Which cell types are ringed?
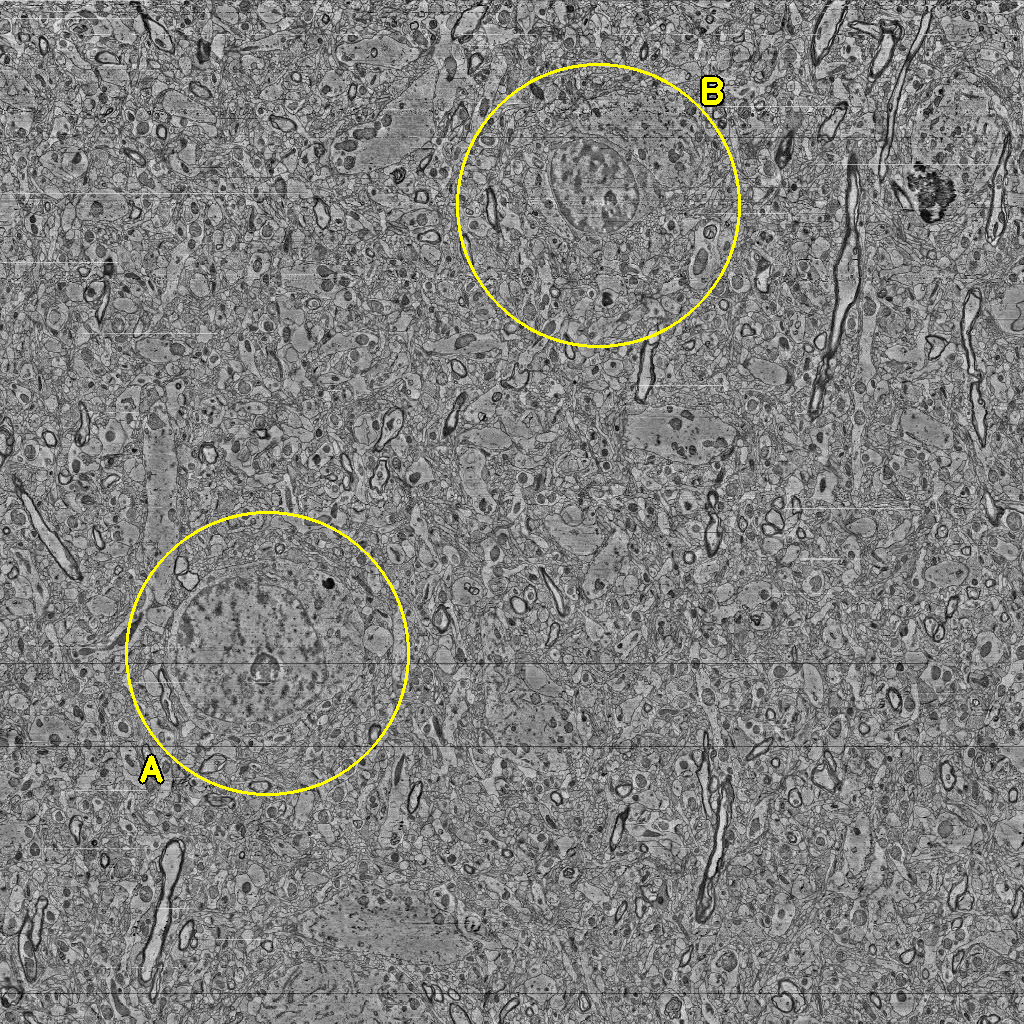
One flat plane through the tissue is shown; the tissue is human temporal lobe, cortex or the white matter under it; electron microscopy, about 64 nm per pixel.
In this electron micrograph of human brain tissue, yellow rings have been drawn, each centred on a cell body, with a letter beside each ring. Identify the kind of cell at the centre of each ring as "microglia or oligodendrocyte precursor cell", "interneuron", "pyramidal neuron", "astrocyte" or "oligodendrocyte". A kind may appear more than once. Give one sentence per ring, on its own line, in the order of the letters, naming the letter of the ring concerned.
Ring A is drawn on an interneuron.
Ring B is drawn on an oligodendrocyte.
